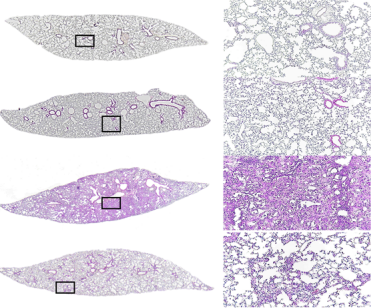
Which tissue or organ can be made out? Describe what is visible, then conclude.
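Whole lobe sections with branching airway and vessel profiles. Magnified fields show lacy alveolar parenchyma. The answer: lungs.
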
